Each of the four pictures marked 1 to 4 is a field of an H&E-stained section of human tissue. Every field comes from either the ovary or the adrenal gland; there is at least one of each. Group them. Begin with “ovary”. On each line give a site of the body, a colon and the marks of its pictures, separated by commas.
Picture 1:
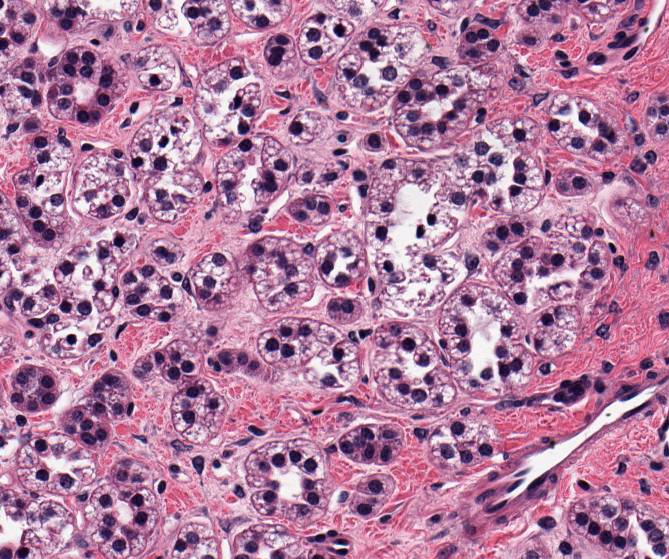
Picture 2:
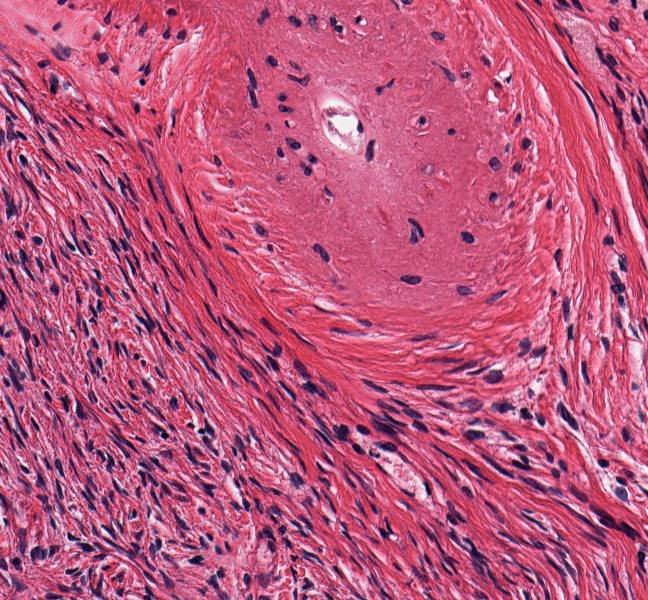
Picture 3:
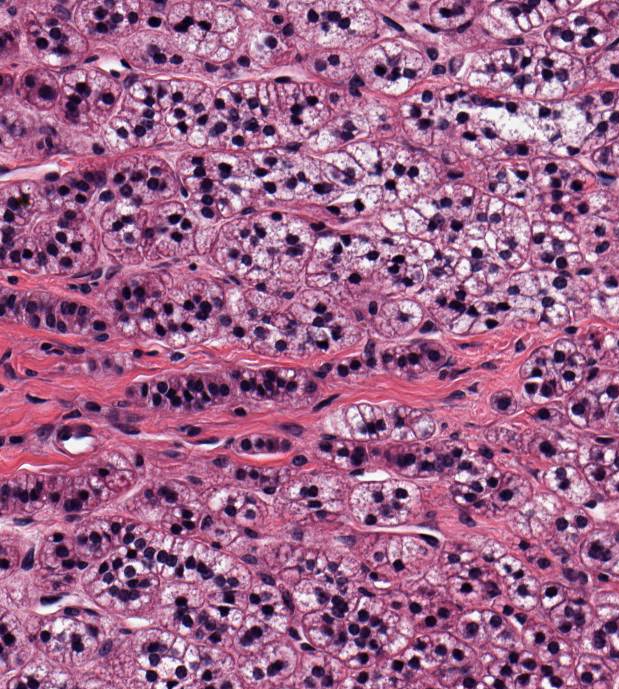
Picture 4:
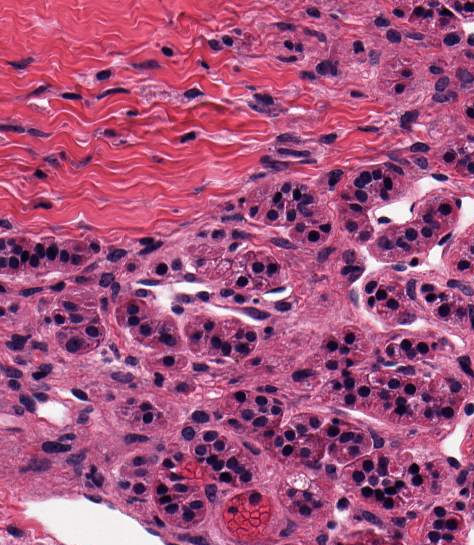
ovary: 2
adrenal gland: 1, 3, 4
